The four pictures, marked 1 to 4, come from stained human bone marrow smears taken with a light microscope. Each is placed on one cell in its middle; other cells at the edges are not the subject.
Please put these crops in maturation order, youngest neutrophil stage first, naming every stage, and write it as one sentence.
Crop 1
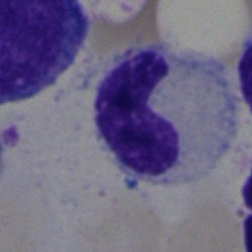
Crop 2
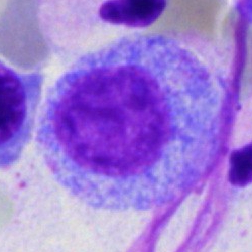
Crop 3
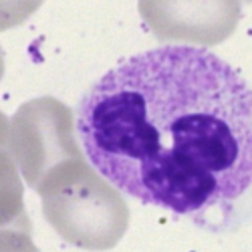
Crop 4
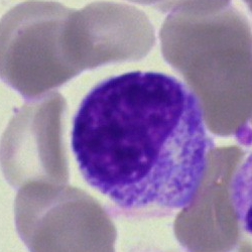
From least mature to most mature, the crops fall in the order crop 2 (a promyelocyte), crop 4 (a myelocyte), crop 1 (a band neutrophil) and crop 3 (a segmented neutrophil).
